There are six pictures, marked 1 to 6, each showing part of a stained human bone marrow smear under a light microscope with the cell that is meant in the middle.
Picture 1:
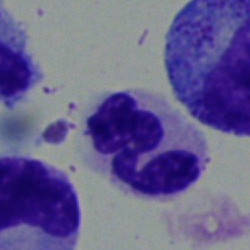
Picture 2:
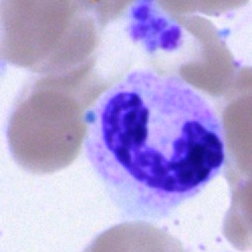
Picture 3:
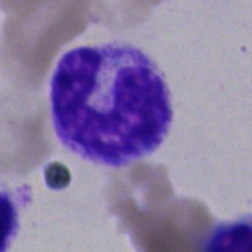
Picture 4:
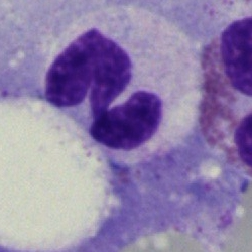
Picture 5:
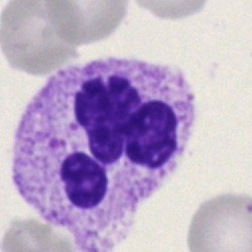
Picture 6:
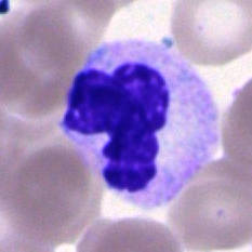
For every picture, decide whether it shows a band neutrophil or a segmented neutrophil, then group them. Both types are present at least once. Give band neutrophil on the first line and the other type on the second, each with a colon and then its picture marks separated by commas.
band neutrophil: 2, 3
segmented neutrophil: 1, 4, 5, 6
